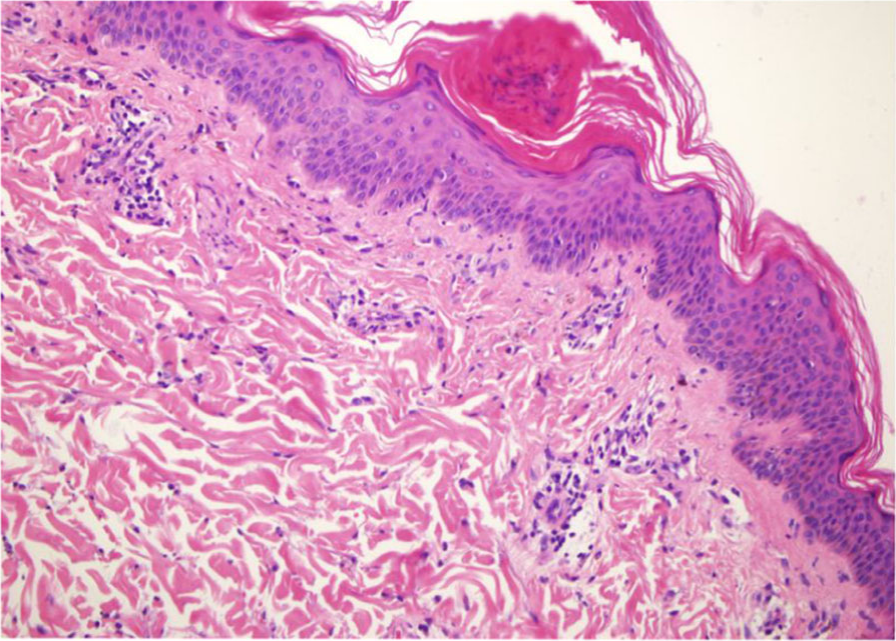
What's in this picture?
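This section of skin shows the epidermis running along the top right, with the dermis below it, where there is an inflammatory infiltrate around small vessels. The epidermis is a stratified layer of purple-nucleated keratinocytes, topped by a thick, layered pink cornified layer that includes a rounded plug of compact keratin. In the superficial dermis, small clusters of dark, round inflammatory cell nuclei gather around small vessels, and a few brown pigment granules lie just below the epidermis. Deeper down, the dermis consists of wavy pink bundles of collagen with scattered spindle-shaped nuclei.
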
